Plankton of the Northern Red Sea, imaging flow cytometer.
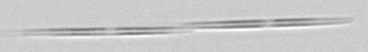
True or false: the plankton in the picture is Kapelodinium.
False; it is Pseudo-nitzschia.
